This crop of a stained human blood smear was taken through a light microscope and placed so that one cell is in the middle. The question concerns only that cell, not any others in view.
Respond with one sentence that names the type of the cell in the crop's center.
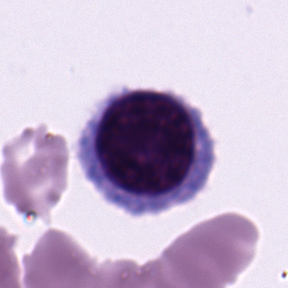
The crop centres on a single cell, and that cell is a hairy cell.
